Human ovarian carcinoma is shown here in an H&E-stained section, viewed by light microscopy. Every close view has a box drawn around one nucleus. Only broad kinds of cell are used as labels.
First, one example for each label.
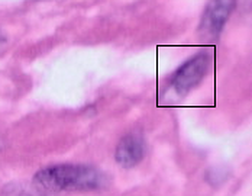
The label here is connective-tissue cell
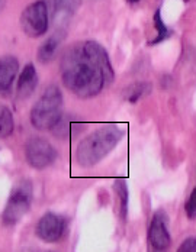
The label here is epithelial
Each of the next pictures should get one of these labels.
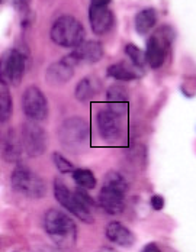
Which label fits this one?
epithelial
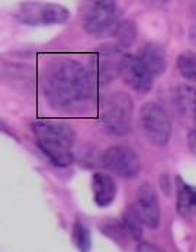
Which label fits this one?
epithelial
